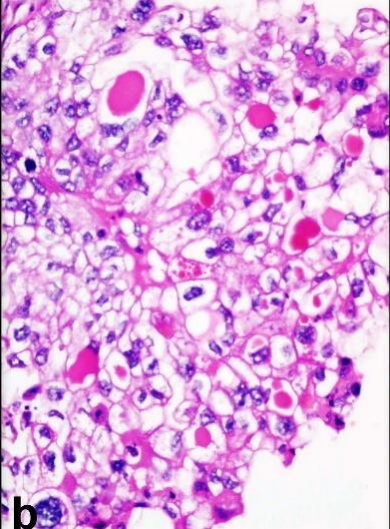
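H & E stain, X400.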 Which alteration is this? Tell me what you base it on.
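Large cells with clear abundant cytoplasm. Large polygonal cells have pale, empty-looking cytoplasm. Distinct cell borders outline each clear cell.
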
